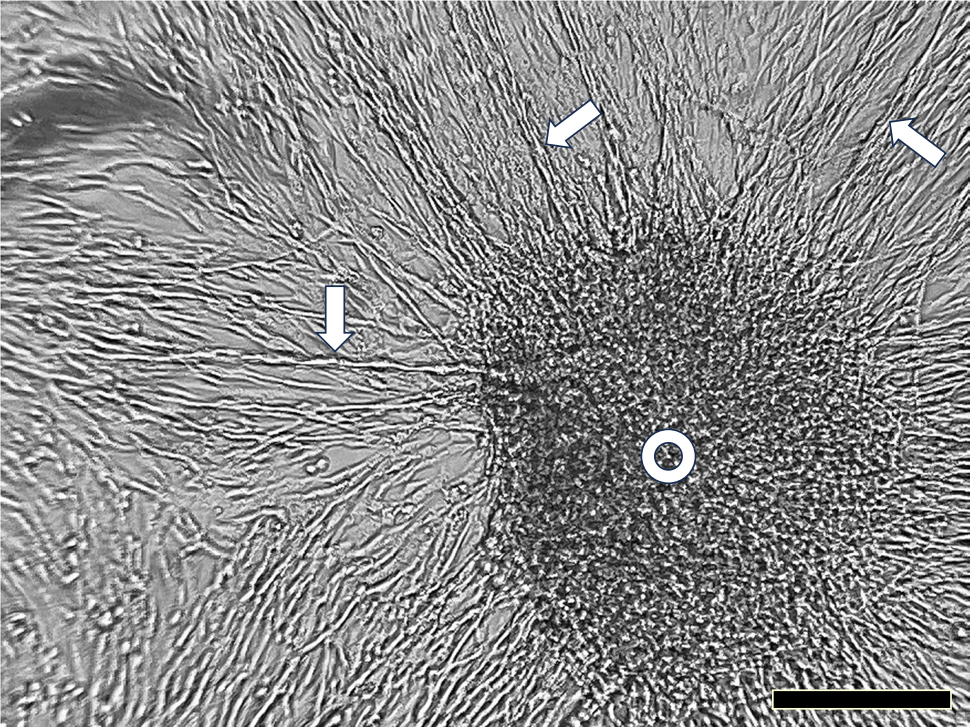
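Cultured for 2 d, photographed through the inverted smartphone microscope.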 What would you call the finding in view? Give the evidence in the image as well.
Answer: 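Elongated cells fan out in all directions from the dark mass. The cells near the mass are aligned like spokes pointing toward it.
Conclusion: Cells migrated out radially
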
